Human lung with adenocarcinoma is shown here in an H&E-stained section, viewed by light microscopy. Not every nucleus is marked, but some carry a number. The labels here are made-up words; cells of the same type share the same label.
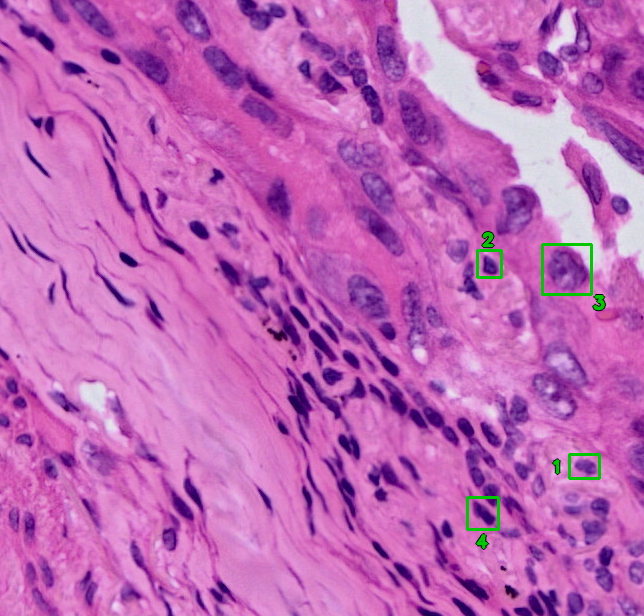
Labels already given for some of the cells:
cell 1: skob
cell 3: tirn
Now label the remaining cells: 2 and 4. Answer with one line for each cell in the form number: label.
2: skob
4: skob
